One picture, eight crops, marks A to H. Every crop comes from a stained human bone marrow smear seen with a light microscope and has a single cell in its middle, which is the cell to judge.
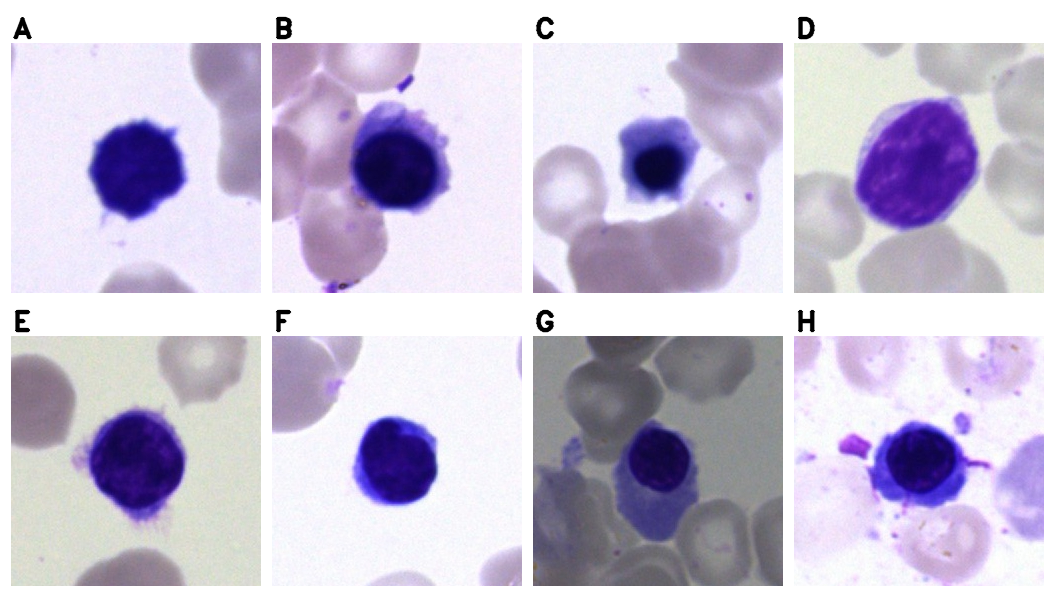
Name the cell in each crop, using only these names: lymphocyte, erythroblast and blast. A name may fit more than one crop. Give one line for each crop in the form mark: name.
A: lymphocyte
B: erythroblast
C: erythroblast
D: lymphocyte
E: lymphocyte
F: lymphocyte
G: erythroblast
H: erythroblast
